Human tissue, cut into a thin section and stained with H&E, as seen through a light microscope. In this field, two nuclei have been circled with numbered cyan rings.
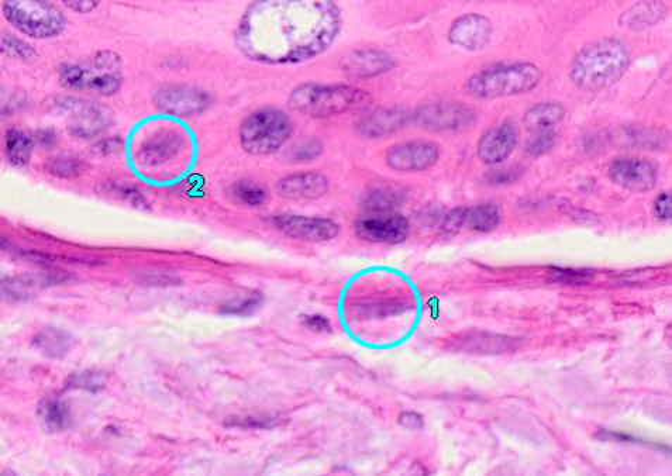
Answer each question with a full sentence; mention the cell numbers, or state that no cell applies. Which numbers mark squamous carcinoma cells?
Cell 2 is a squamous carcinoma cell, and it is the only numbered cell that is.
